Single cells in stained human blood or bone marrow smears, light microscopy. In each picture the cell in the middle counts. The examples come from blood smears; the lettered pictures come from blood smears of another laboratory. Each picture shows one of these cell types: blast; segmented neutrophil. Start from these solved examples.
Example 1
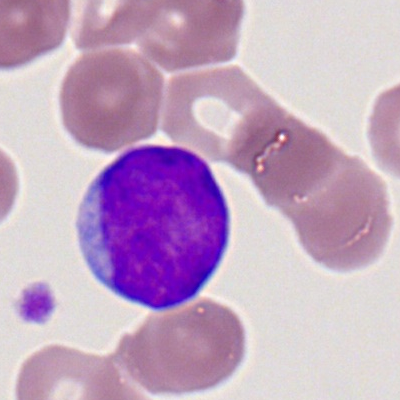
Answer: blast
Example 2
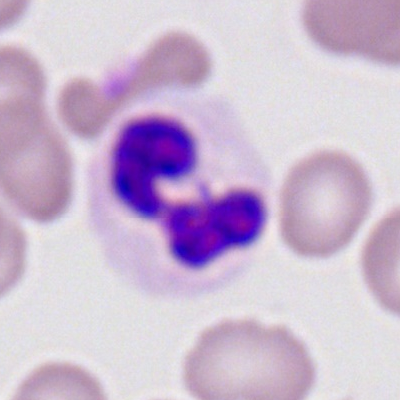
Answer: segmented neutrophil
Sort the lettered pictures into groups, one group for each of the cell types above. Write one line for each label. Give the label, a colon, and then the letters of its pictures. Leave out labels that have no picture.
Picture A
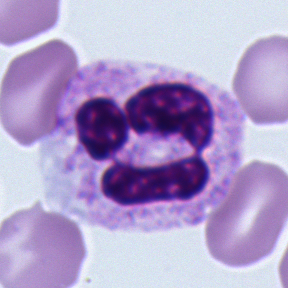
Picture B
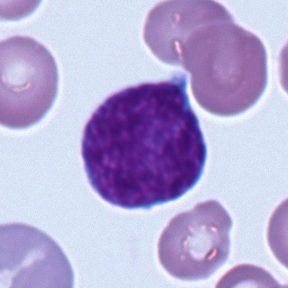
blast: B
segmented neutrophil: A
